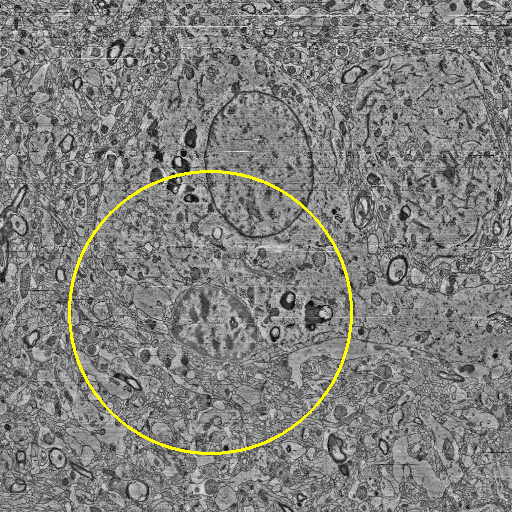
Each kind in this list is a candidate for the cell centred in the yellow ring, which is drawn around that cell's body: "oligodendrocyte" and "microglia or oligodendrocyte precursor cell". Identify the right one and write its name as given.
oligodendrocyte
